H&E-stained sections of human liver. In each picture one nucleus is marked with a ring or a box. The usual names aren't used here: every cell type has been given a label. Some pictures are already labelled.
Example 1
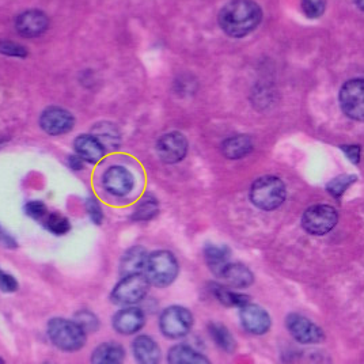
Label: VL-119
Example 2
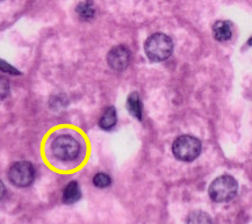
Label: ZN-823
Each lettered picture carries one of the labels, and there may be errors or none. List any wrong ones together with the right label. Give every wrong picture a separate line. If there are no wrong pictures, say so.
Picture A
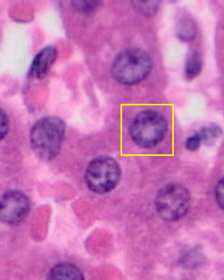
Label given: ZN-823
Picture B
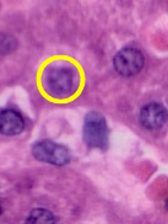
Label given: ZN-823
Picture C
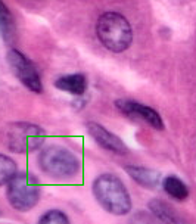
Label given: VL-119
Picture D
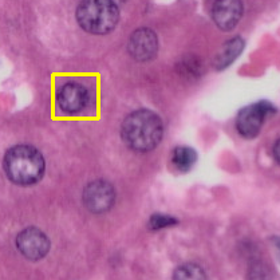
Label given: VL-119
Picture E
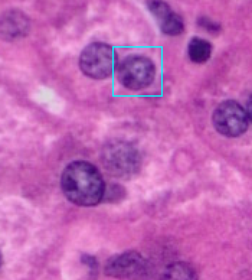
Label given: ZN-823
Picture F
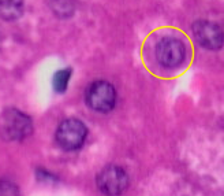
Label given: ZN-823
D: change VL-119 to ZN-823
